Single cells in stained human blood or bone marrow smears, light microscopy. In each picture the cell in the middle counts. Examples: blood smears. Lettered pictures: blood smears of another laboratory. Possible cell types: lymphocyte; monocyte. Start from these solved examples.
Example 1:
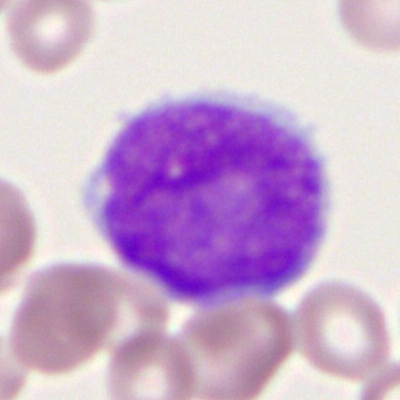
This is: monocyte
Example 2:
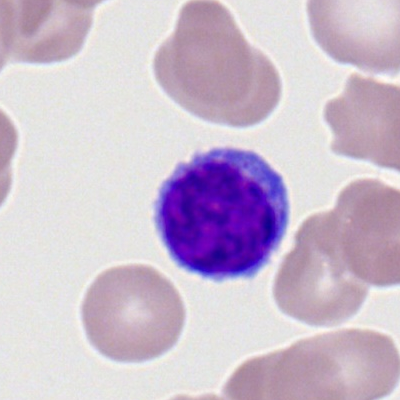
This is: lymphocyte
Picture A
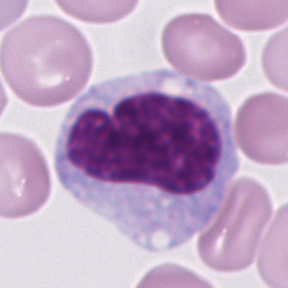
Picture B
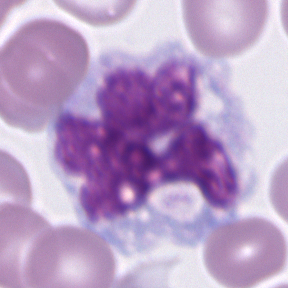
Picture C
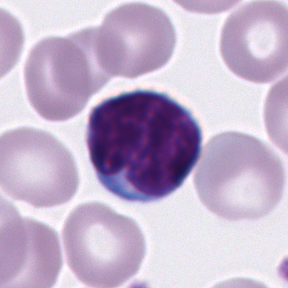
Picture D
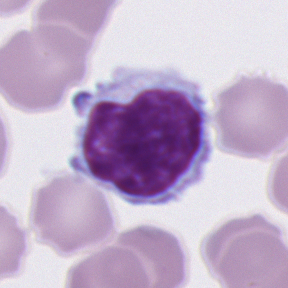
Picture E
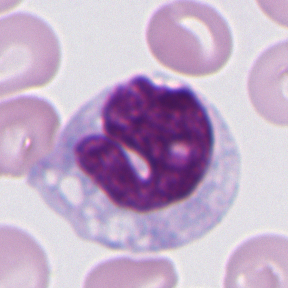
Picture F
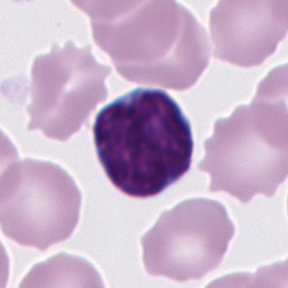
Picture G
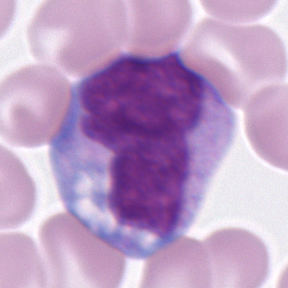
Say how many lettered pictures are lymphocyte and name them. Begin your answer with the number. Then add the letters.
Count: 3 (C, D, F)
